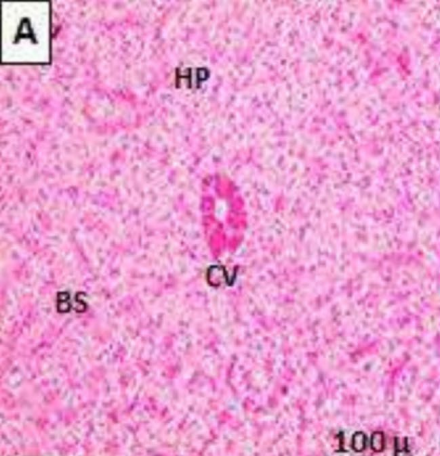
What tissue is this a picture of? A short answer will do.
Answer: liver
